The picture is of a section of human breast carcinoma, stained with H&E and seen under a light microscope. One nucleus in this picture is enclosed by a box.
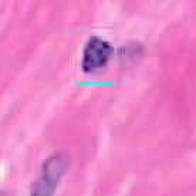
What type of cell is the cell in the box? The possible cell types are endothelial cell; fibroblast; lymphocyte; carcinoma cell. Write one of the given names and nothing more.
lymphocyte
